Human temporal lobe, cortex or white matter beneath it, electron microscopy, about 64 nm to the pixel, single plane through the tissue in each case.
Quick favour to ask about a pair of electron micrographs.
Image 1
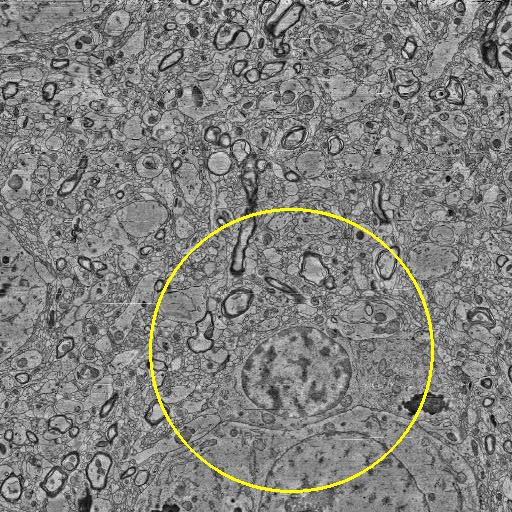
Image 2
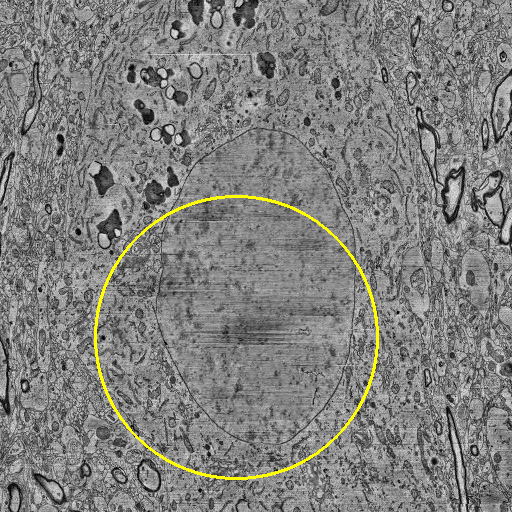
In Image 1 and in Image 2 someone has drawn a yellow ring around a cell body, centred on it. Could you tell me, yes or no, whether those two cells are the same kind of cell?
no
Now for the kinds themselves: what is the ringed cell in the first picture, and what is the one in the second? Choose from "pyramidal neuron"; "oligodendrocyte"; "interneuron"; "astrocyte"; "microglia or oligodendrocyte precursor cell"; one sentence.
Here the first cell is an oligodendrocyte and the second cell is a pyramidal neuron.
